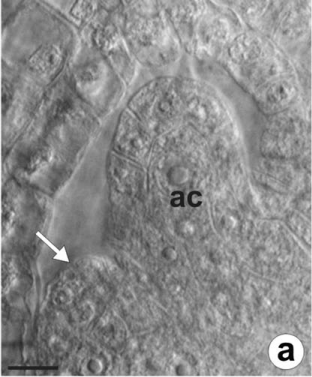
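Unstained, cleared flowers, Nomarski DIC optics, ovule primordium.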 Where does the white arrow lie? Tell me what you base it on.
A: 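The arrow points to a small bulge at the flank of the dome-shaped ovule primordium. The bulge lies at the base of the primordium, beside the central nucellus. The answer: site of integument formation.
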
